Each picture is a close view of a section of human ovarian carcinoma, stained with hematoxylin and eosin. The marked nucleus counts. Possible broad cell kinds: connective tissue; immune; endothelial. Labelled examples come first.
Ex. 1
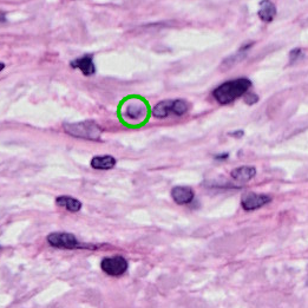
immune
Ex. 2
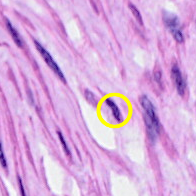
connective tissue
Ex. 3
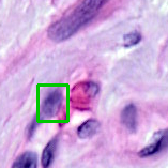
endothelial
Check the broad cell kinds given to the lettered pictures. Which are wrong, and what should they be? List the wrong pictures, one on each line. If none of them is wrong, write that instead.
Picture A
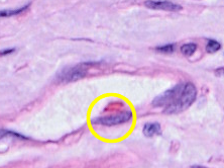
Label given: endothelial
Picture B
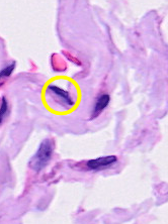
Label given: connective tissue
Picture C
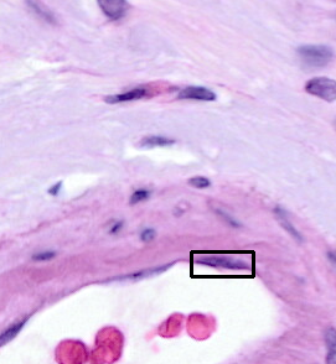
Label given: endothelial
B is labelled connective tissue; correct label: endothelial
